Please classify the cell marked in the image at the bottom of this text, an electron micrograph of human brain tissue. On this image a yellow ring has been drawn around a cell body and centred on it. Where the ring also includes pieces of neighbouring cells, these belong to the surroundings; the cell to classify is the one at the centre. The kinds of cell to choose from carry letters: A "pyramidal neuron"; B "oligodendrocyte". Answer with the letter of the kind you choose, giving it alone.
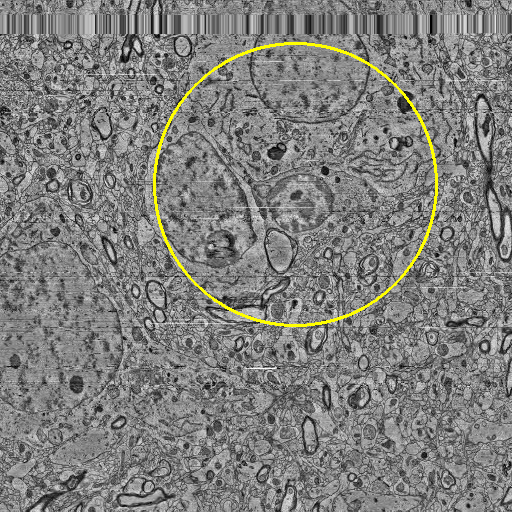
B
